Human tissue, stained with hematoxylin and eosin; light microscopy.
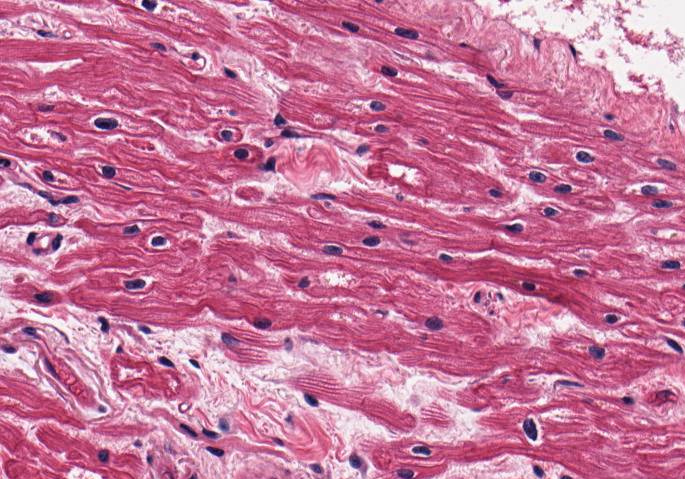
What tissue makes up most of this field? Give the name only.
myocardium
